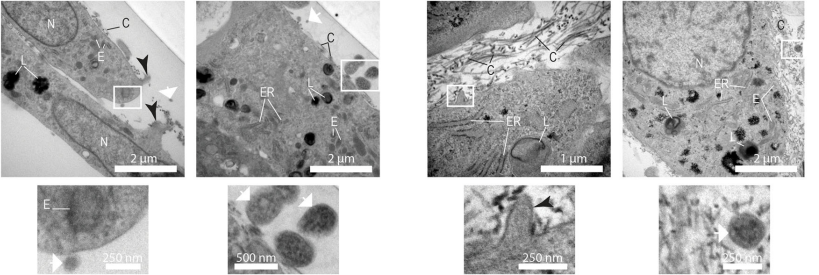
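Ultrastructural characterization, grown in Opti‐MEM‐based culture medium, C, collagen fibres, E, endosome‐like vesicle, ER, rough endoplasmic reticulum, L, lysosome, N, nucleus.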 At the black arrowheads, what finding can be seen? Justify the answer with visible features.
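Outward budding of the plasma membrane. The cell surface bulges outward into small protrusions where the black arrowheads point. The protrusions are bounded by the same membrane as the cell edge.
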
